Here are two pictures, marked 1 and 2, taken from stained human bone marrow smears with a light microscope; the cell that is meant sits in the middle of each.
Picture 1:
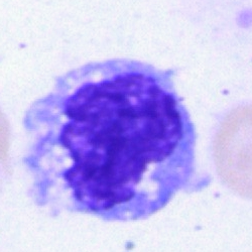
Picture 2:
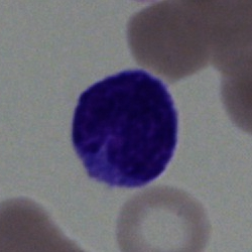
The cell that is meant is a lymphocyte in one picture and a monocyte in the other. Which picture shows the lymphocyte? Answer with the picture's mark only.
2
